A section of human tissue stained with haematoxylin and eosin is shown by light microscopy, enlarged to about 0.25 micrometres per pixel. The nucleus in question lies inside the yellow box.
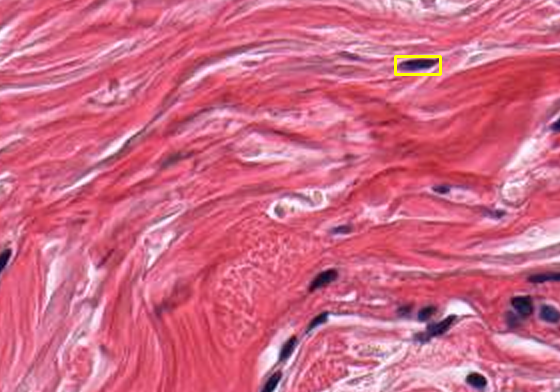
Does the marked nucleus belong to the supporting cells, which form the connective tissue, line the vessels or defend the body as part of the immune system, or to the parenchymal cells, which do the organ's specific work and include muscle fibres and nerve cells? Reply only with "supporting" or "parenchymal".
supporting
